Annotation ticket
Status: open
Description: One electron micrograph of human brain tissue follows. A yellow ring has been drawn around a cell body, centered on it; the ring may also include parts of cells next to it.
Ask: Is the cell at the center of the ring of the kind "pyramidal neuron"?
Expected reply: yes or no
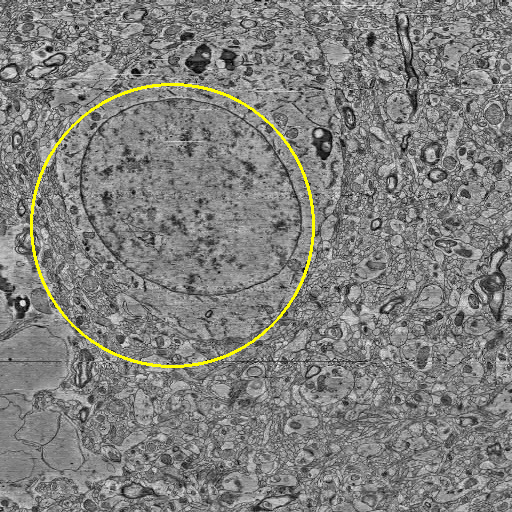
yes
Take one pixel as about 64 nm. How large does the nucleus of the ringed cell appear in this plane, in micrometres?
In this plane the nucleus measures roughly 15 by 12 micrometers.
